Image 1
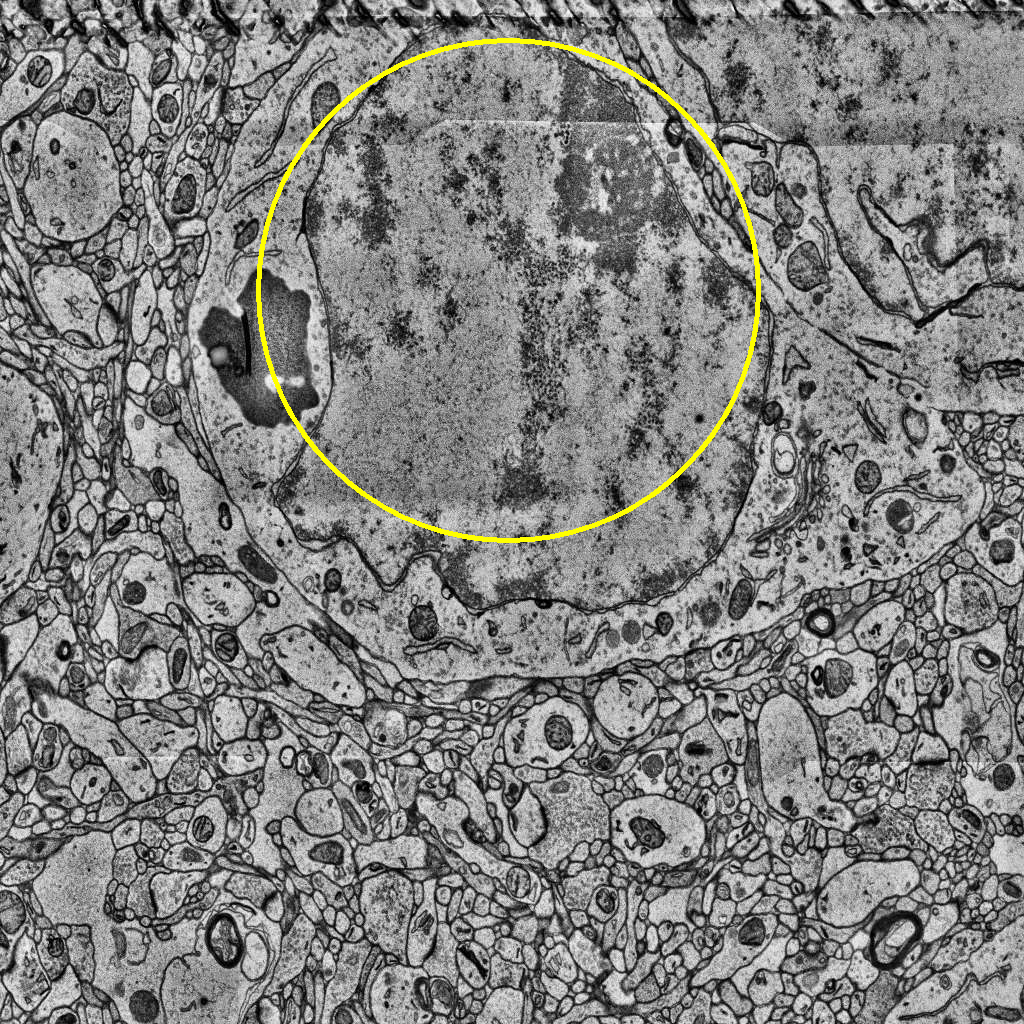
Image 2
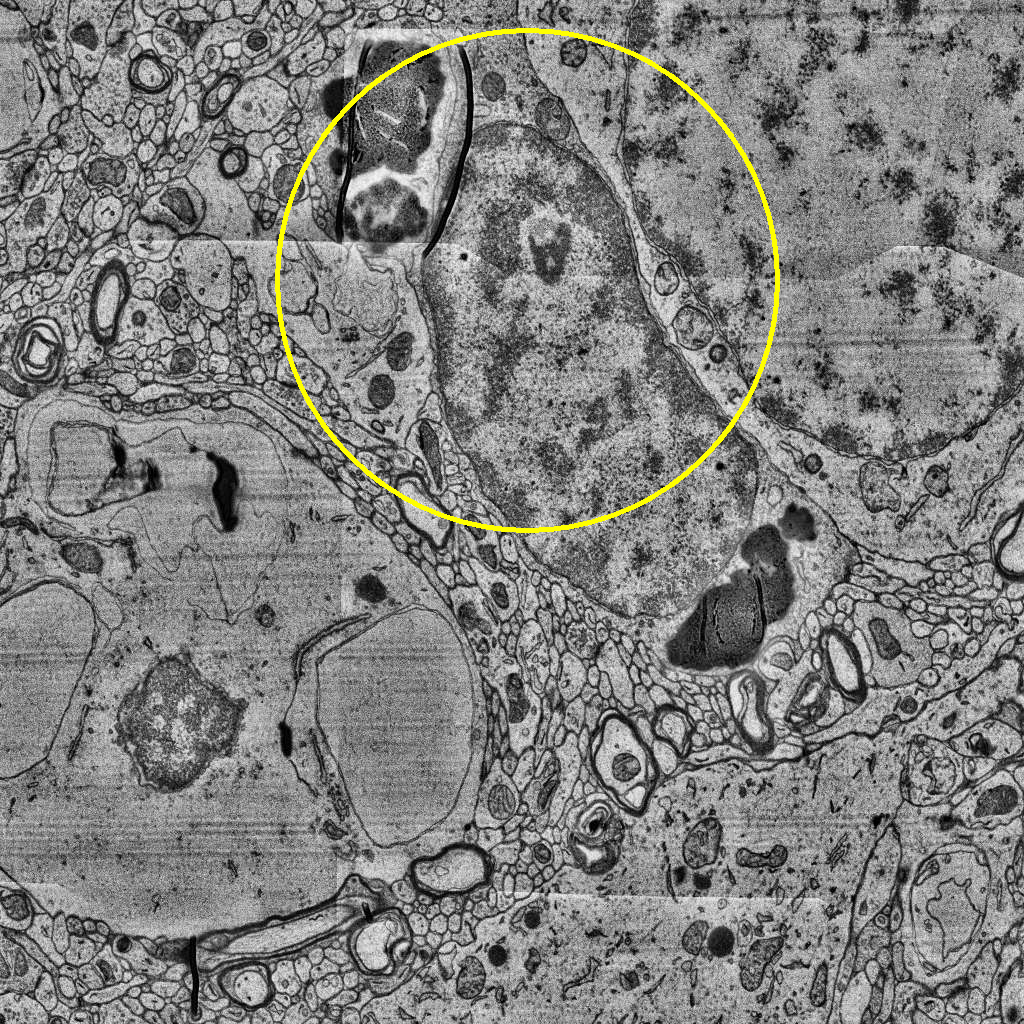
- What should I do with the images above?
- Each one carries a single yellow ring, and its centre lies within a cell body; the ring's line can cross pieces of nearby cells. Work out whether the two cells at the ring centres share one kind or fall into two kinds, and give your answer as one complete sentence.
The ring-centre cells of Image 1 and Image 2 fall into two kinds.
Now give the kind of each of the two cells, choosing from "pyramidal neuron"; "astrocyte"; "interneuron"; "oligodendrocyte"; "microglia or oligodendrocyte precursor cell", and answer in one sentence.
The cell at the centre of the second ring is a microglial cell or oligodendrocyte precursor cell; the first ring's cell is an interneuron.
